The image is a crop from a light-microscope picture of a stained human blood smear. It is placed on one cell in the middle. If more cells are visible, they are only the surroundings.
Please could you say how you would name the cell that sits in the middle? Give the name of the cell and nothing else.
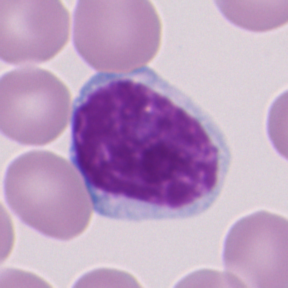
typical lymphocyte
